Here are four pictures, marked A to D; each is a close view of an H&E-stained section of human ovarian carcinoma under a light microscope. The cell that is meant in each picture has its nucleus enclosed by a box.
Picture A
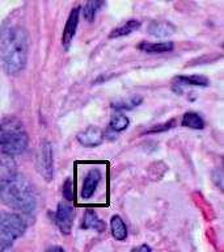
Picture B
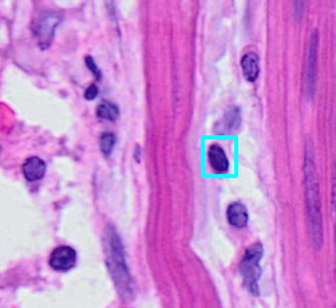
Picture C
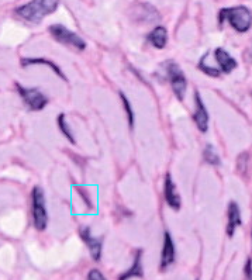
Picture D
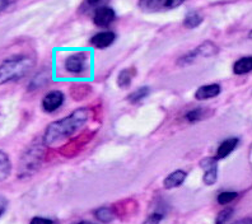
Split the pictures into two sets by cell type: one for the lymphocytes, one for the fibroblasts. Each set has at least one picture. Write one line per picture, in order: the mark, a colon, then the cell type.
A: lymphocyte
B: lymphocyte
C: fibroblast
D: lymphocyte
